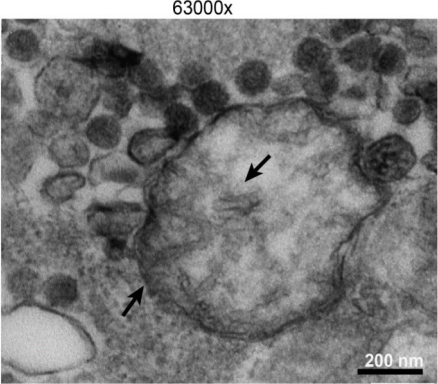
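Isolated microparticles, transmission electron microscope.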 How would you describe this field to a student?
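A single free mitochondrion is seen as a large rounded organelle bounded by a double membrane. Inside its pale matrix lie a few short, parallel cristae, and it is surrounded by many smaller dense round vesicles and fragments.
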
